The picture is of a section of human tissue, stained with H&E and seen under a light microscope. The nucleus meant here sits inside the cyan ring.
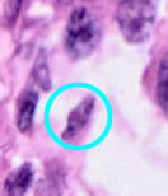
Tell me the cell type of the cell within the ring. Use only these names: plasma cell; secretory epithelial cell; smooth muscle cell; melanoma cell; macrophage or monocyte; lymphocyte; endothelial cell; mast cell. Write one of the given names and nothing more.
melanoma cell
